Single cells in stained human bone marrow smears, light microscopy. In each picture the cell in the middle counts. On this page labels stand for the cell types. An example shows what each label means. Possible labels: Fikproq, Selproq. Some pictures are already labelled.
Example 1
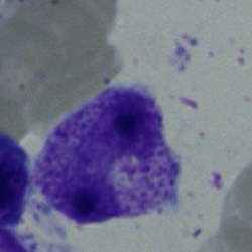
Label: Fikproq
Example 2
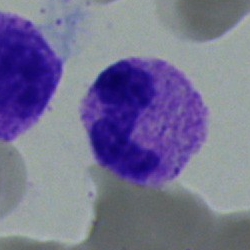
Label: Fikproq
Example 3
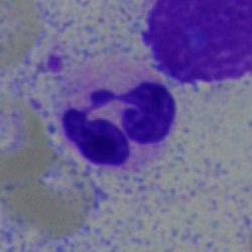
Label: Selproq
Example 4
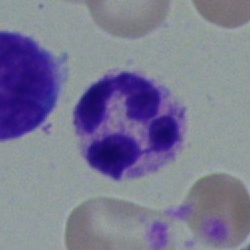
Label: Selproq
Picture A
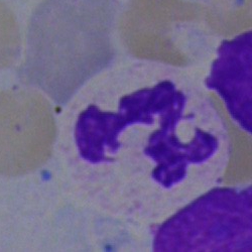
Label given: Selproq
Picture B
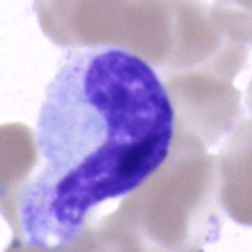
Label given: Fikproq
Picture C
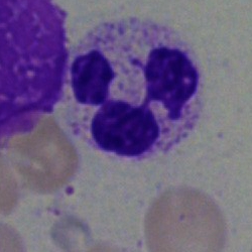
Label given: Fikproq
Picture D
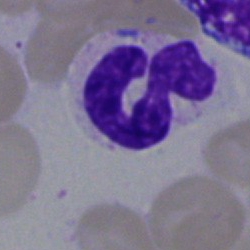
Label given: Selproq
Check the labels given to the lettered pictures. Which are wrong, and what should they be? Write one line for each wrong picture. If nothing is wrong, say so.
C: not Fikproq but Selproq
